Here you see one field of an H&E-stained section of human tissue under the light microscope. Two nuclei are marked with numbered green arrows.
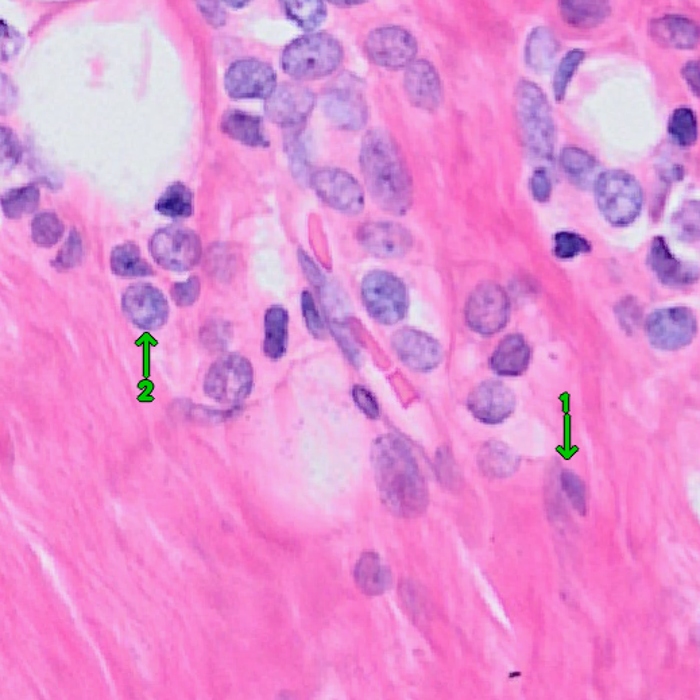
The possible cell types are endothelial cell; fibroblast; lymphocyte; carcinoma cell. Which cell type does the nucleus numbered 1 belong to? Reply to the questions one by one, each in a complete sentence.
The cell with the number 1 is a fibroblast.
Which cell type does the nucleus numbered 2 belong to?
The numbered cell 2 in this field is a carcinoma cell.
